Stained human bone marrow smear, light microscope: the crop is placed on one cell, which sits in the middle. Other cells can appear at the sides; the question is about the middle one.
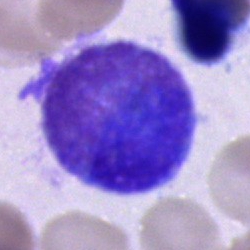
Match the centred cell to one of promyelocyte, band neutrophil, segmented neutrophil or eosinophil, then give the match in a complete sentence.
The cell in the middle of this crop is an eosinophil.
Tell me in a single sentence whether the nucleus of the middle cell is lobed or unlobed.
In this cell the nucleus is a solitary compact mass, round, oval or kidney-shaped.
